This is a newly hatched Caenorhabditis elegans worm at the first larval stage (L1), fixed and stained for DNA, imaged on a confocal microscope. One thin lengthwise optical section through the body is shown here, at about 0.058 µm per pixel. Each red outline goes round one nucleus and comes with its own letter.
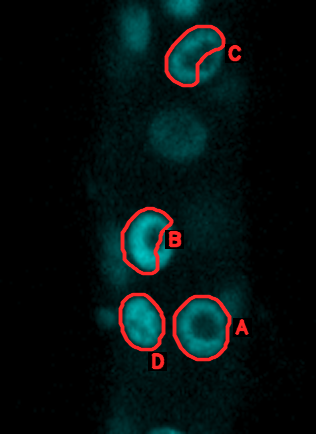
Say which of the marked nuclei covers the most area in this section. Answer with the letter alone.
A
